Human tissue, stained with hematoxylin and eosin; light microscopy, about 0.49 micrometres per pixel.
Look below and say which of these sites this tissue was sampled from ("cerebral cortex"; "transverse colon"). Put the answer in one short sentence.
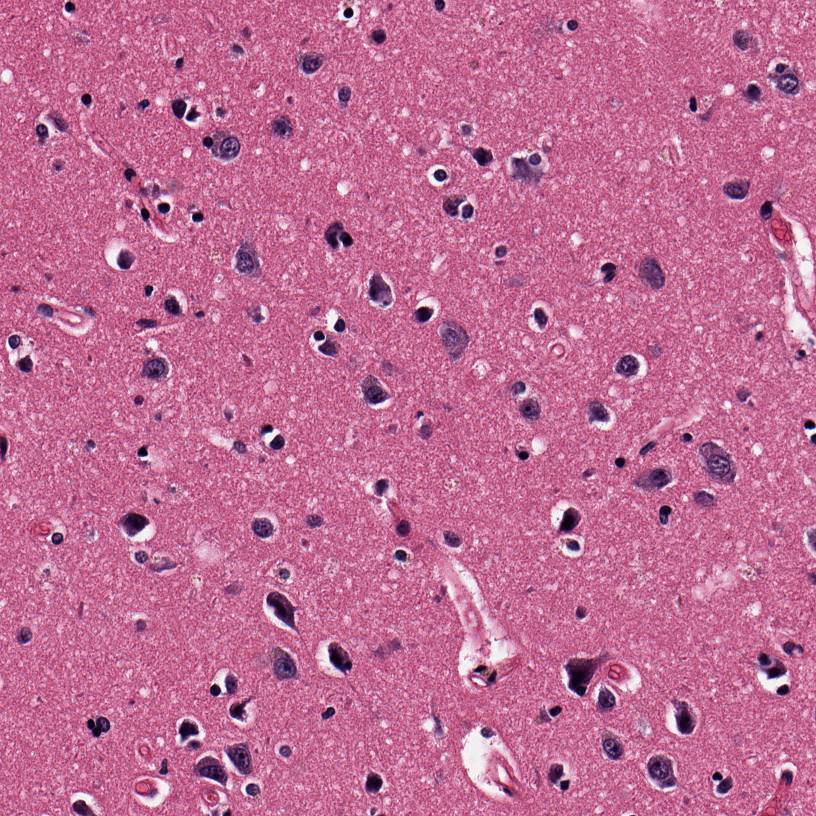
The site this tissue was sampled from is the cerebral cortex.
